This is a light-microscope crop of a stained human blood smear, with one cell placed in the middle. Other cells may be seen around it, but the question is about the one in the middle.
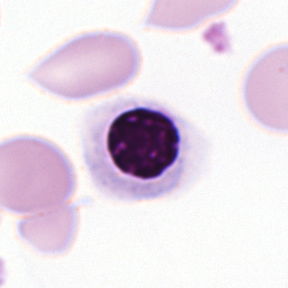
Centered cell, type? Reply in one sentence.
In this smear crop, the middle cell is a normoblast.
